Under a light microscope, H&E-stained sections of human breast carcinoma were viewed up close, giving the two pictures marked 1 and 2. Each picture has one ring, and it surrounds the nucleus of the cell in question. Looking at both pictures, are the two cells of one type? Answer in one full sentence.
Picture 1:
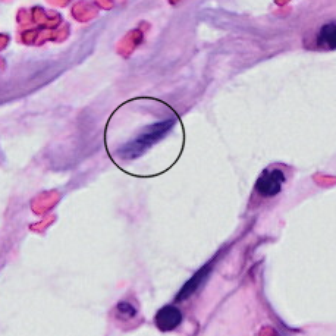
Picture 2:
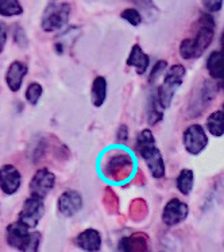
No; the cell in picture 1 is a fibroblast, while the one in picture 2 is an endothelial cell.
